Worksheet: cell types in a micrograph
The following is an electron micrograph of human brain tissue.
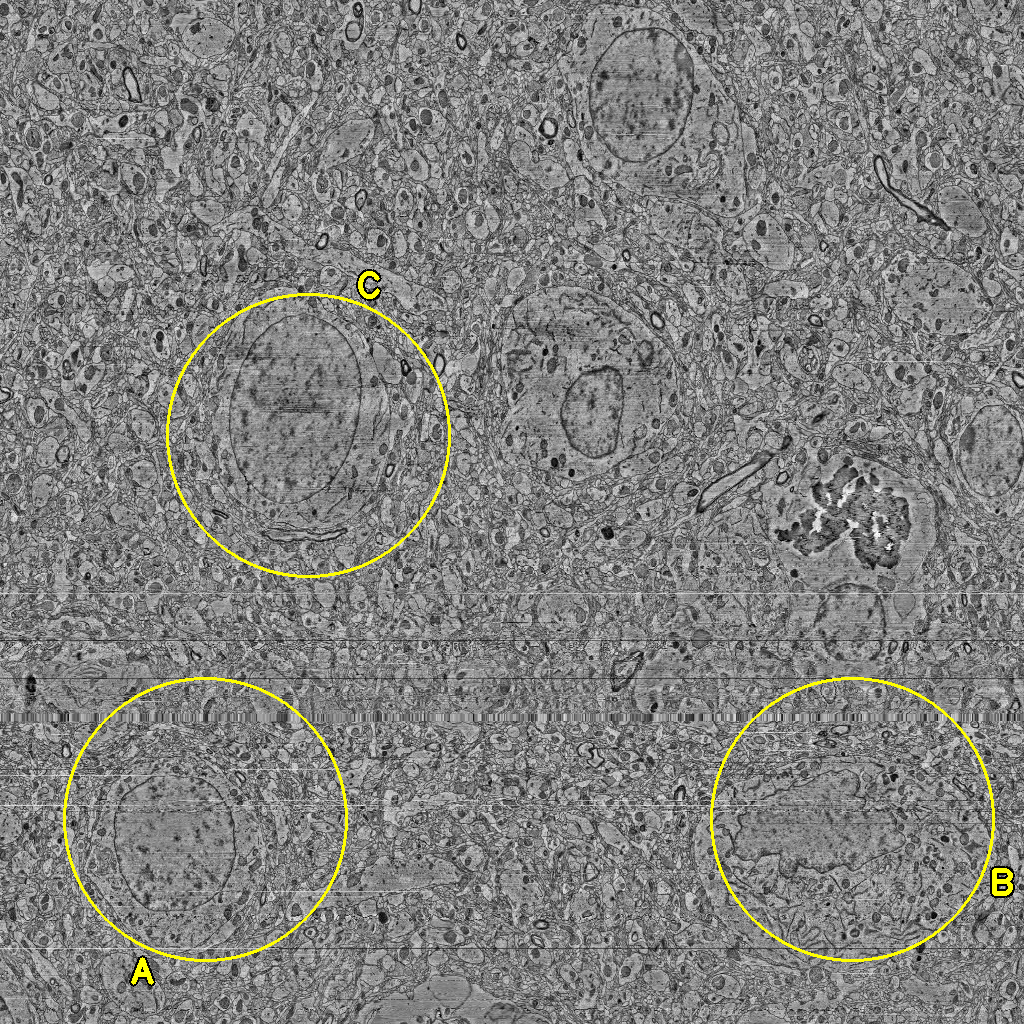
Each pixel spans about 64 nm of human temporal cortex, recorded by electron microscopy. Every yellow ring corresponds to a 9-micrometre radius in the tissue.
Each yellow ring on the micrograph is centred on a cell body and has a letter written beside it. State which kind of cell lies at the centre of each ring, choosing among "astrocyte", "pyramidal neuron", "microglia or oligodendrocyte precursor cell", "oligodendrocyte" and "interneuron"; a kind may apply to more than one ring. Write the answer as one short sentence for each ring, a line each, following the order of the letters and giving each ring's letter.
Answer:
Ring A has a pyramidal neuron in its centre.
Ring B has an interneuron in its centre.
Ring C has a pyramidal neuron in its centre.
